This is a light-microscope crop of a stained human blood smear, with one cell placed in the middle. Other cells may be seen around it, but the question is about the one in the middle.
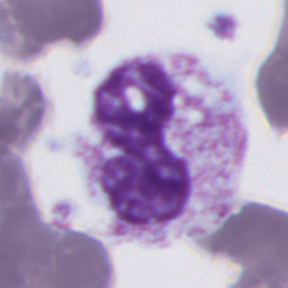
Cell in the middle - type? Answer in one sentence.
The cell shown in the center of this light-microscope crop is a segmented neutrophil.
